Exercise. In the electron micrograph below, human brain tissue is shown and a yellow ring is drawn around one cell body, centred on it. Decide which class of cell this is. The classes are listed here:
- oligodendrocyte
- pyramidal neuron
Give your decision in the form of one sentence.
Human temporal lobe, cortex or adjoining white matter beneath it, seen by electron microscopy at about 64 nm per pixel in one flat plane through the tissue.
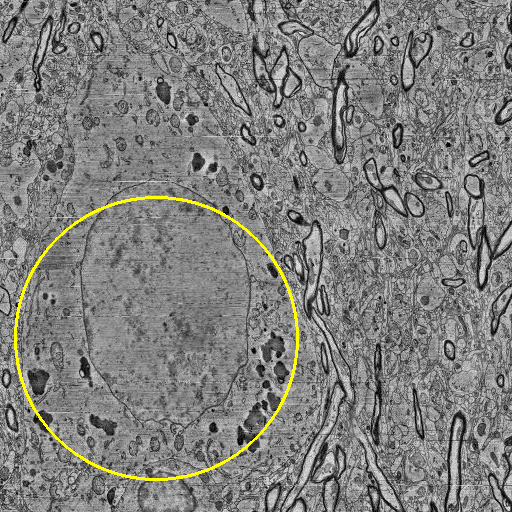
The cell body marked by the ring belongs to a pyramidal neuron.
